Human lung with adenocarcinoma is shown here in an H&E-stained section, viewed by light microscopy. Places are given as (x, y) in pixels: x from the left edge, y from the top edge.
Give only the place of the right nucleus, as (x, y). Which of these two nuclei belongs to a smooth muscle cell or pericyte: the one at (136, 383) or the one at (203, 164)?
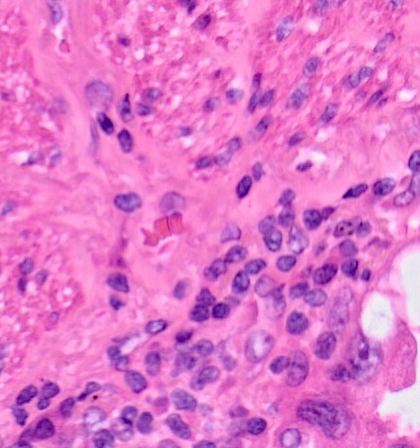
(203, 164)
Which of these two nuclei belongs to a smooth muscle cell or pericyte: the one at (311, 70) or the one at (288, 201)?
(311, 70)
